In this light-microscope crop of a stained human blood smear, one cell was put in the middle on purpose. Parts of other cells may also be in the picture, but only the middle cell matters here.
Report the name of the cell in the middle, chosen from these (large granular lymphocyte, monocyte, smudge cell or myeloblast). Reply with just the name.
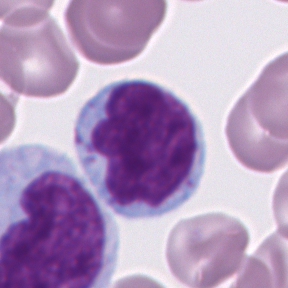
large granular lymphocyte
